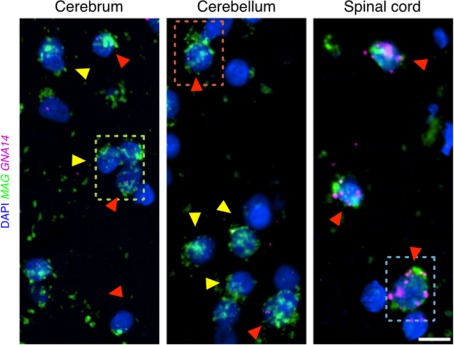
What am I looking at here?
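Oligodendrocytes scattered in central nervous tissue are seen in three columns as small, round blue nuclei. Fine green puncta crowd around many of these nuclei, forming a tight perinuclear rim, while a few nuclei carry little or no green. On some of the cells magenta dots sit among the green puncta, and these are most frequent in the right-hand column.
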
